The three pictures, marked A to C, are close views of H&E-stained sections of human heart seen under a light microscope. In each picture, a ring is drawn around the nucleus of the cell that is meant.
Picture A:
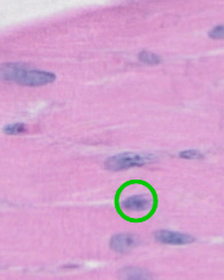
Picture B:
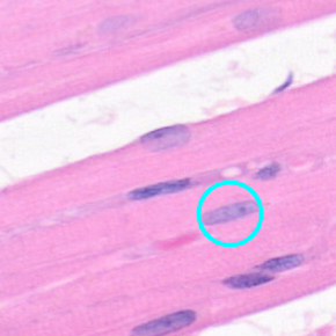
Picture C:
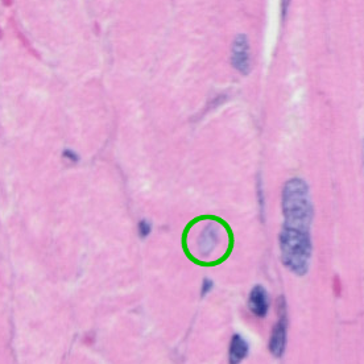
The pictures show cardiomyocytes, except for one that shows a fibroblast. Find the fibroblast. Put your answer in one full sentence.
The fibroblast is the one in picture A.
